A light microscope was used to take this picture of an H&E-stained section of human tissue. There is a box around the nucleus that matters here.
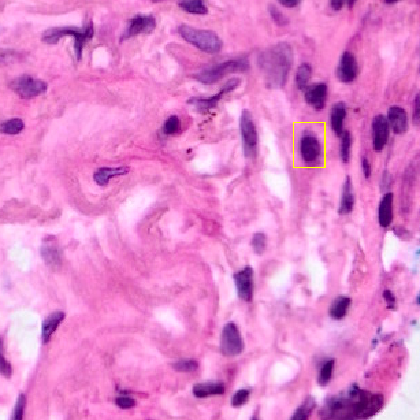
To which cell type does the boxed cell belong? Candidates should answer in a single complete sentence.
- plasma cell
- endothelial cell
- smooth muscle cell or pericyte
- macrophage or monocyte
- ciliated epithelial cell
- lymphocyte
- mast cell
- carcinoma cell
Histopathologically, the boxed cell is a plasma cell.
